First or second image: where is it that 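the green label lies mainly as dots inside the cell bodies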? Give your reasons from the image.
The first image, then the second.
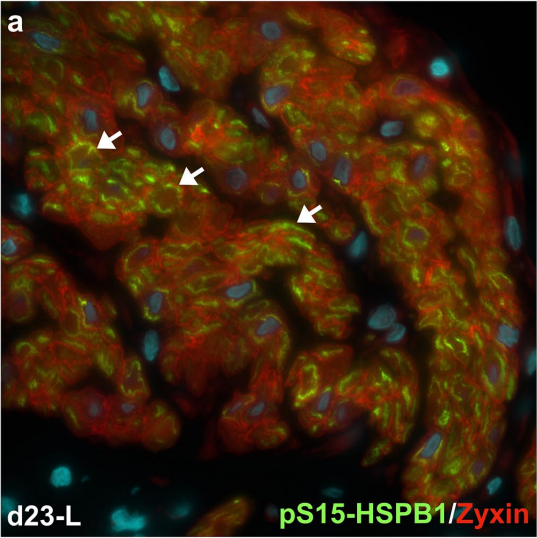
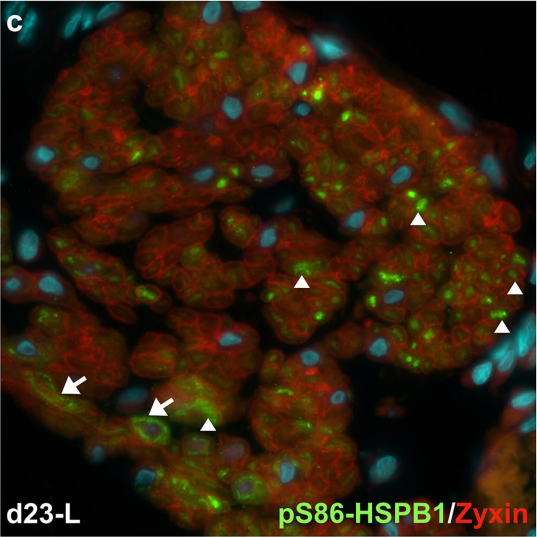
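Second image: bright green spots scattered inside the rounded cell profiles. The answer: the second image.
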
